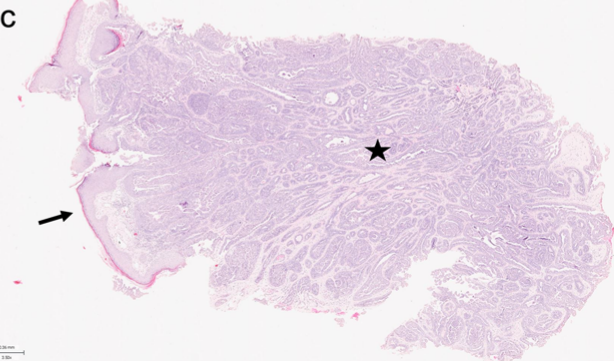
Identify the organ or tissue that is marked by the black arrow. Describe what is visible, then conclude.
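The surface layer is a band of stratified epithelium topped by bright pink keratin.
Intact epidermis.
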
